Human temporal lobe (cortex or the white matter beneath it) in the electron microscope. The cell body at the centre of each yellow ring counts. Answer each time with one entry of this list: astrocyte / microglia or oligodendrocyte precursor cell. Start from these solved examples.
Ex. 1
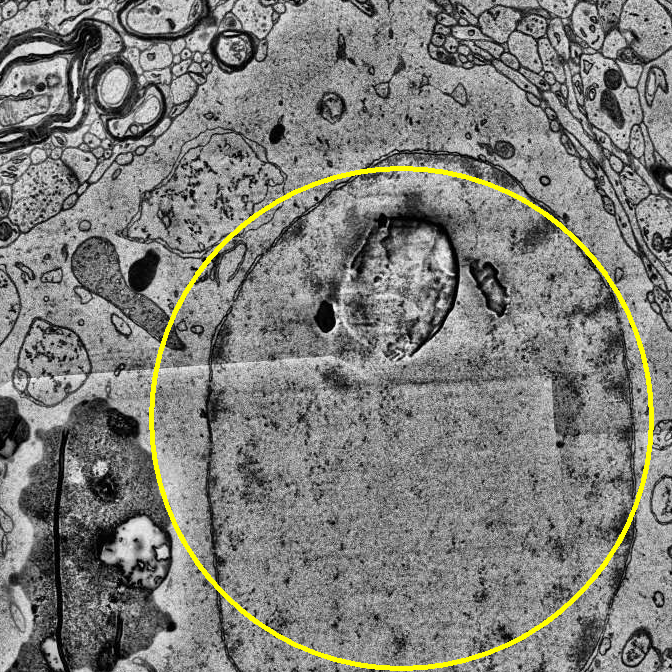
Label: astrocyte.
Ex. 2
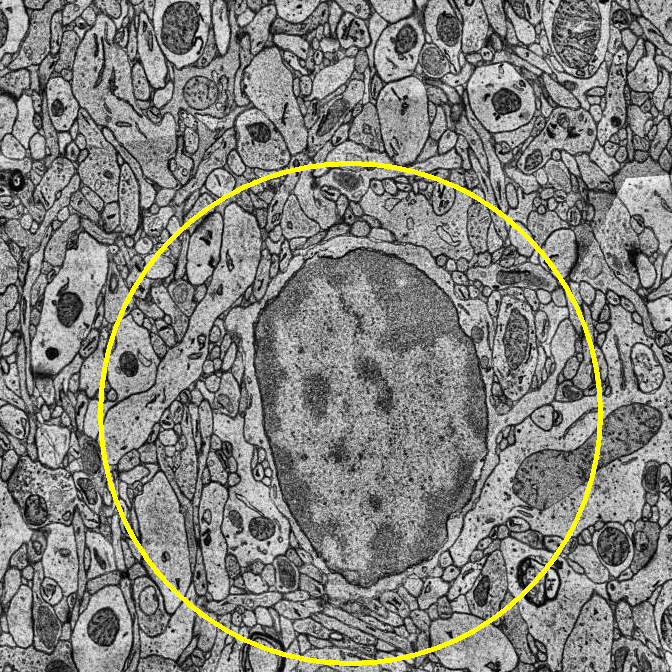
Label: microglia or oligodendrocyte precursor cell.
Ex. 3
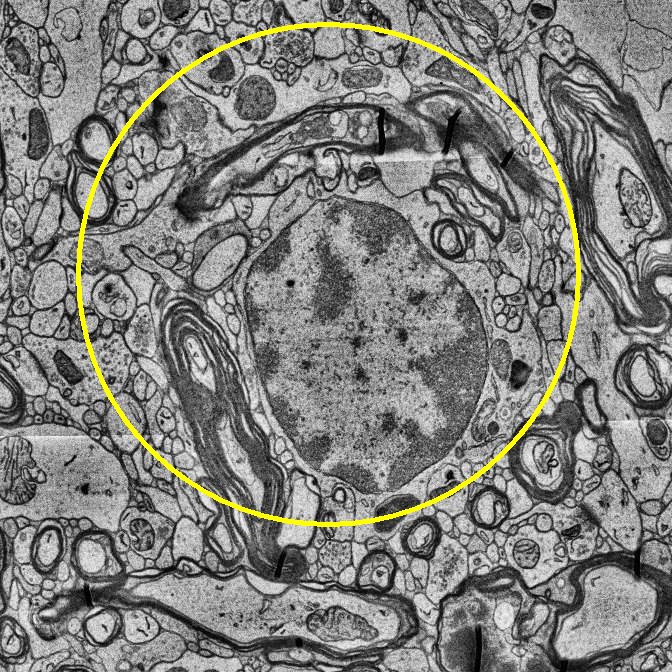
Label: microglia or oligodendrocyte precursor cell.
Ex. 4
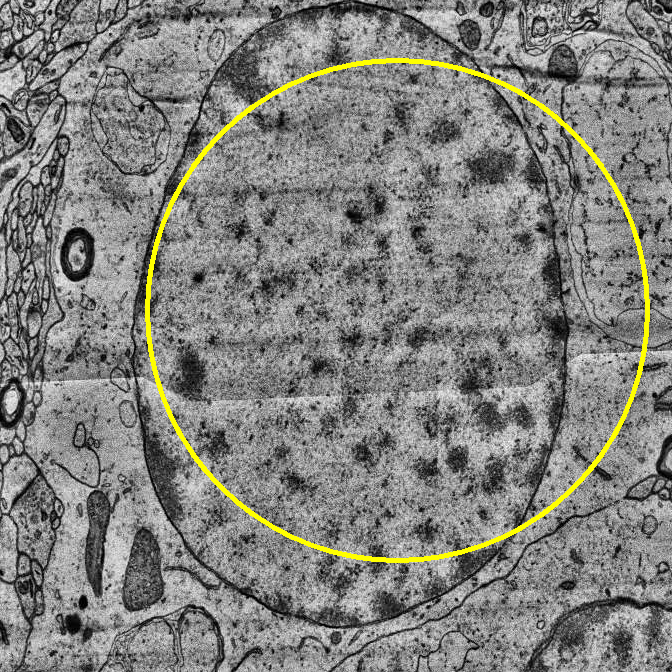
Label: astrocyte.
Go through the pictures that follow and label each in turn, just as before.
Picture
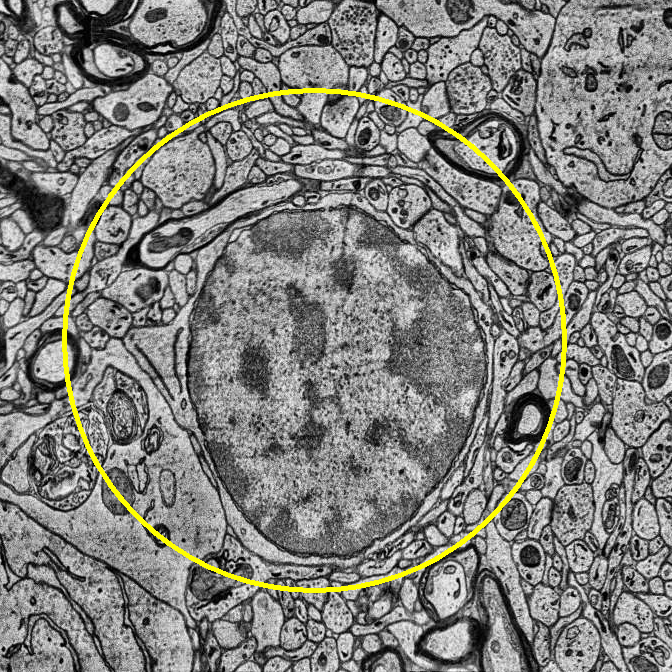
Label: microglia or oligodendrocyte precursor cell.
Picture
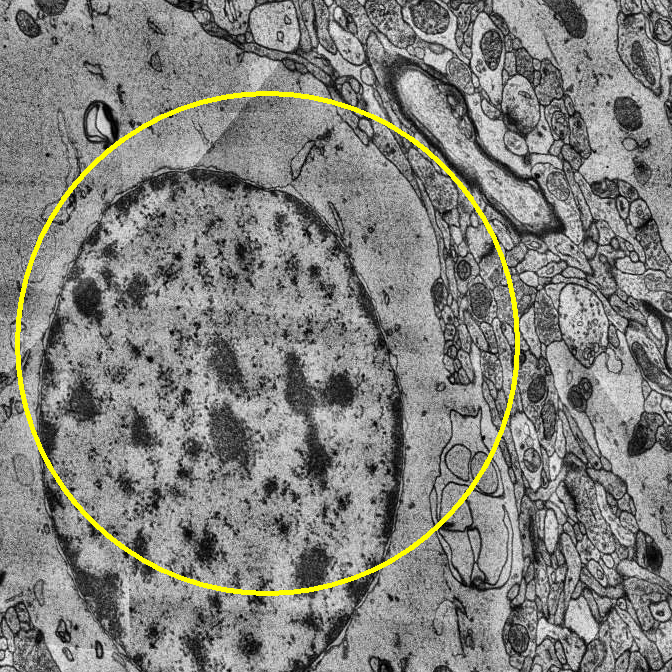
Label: astrocyte.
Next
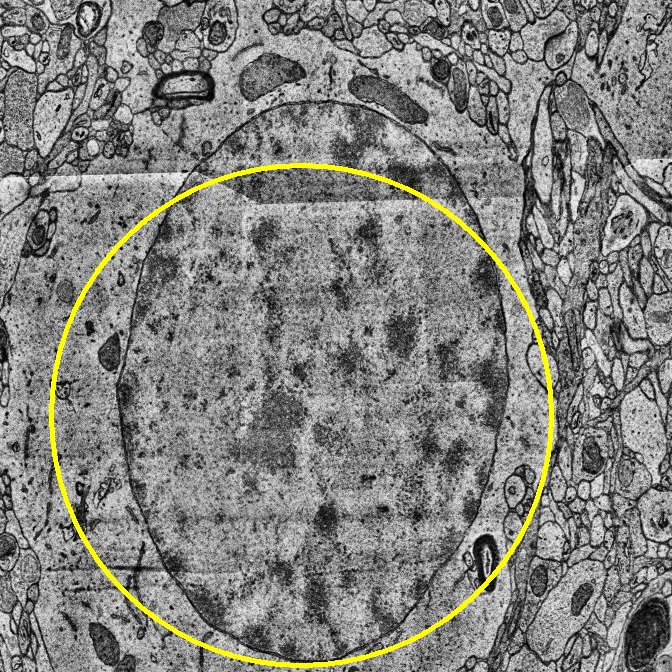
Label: astrocyte.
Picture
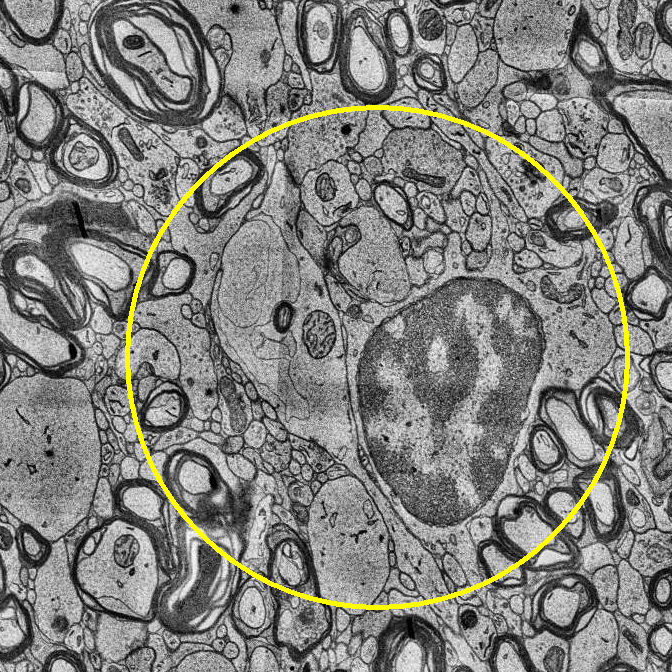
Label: microglia or oligodendrocyte precursor cell.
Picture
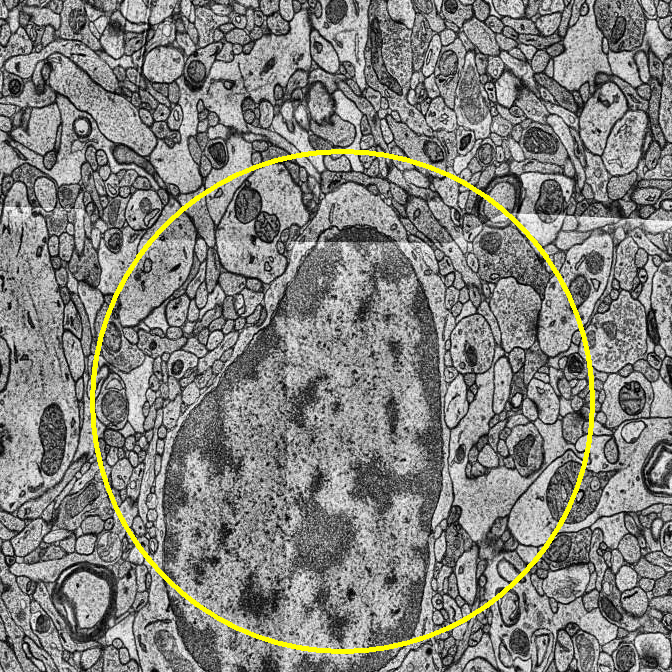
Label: microglia or oligodendrocyte precursor cell.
